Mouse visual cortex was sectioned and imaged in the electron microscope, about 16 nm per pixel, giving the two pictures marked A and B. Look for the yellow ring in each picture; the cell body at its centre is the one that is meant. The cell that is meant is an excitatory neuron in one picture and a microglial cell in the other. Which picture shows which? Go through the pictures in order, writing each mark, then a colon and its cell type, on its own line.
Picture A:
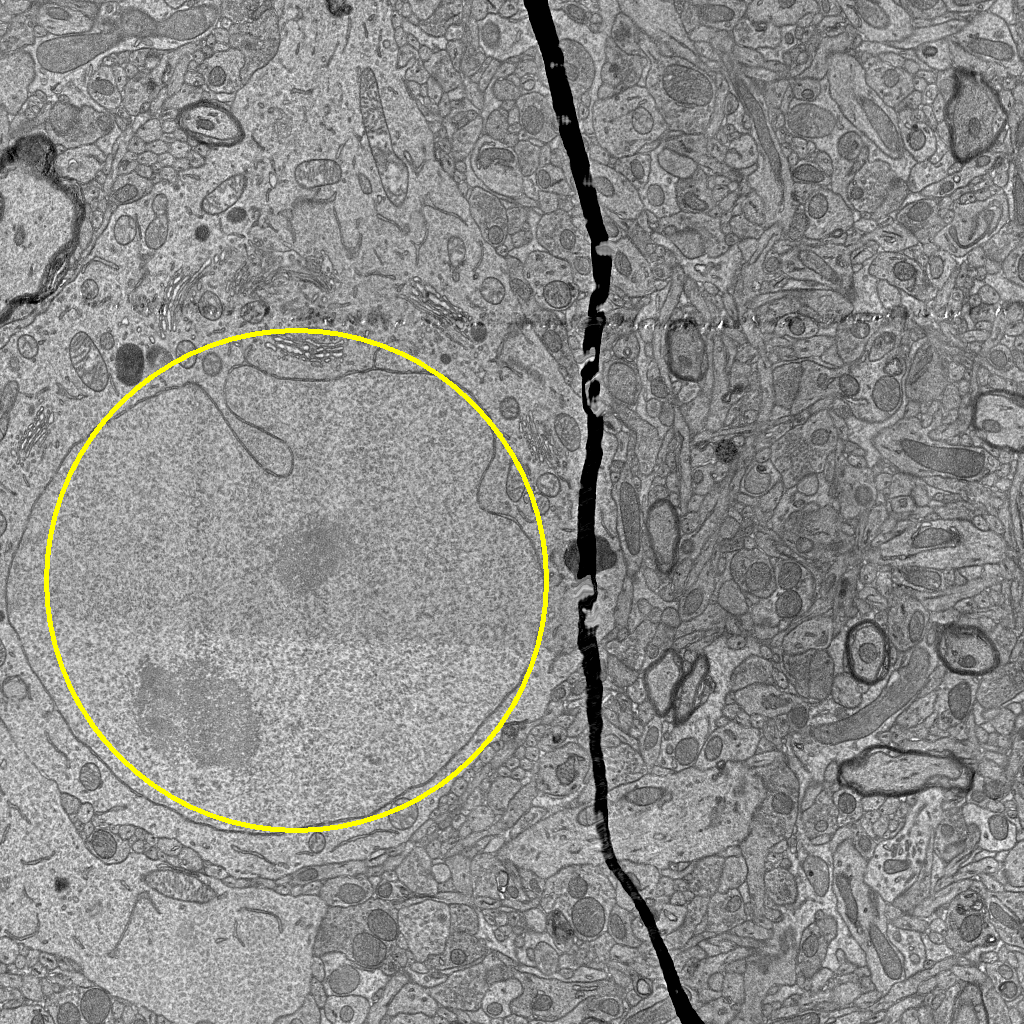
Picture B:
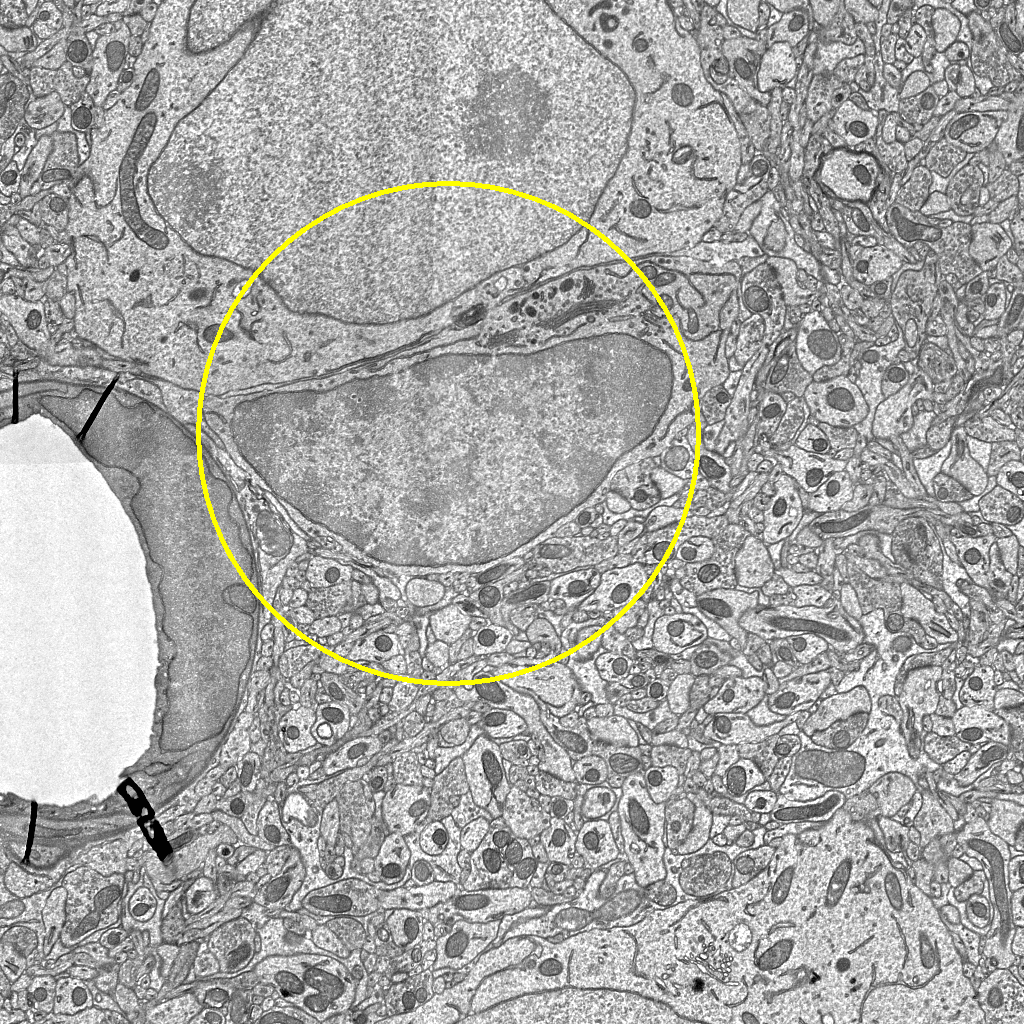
A: excitatory neuron
B: microglial cell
